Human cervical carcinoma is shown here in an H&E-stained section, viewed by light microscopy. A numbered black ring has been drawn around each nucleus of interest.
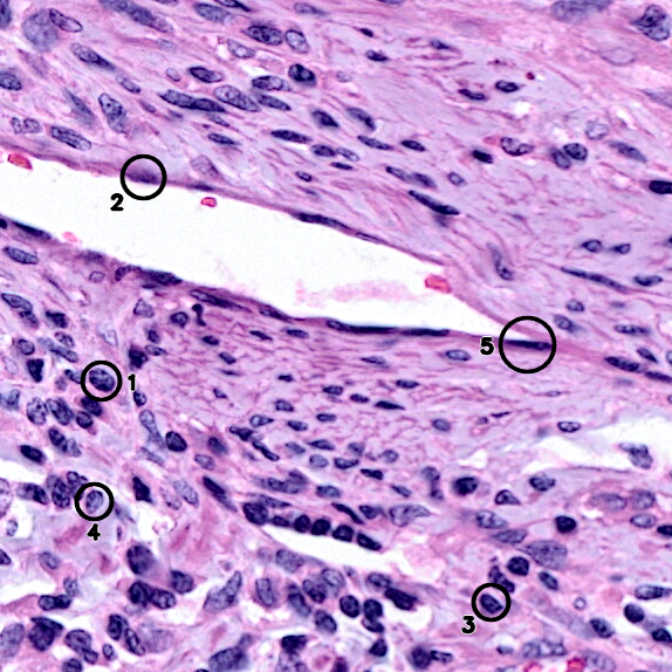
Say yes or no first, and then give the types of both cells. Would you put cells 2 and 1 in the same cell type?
No, cell 2 is an endothelial cell and cell 1 is a lymphocyte.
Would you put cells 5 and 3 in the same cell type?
No, cell 5 is an endothelial cell and cell 3 is a lymphocyte.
